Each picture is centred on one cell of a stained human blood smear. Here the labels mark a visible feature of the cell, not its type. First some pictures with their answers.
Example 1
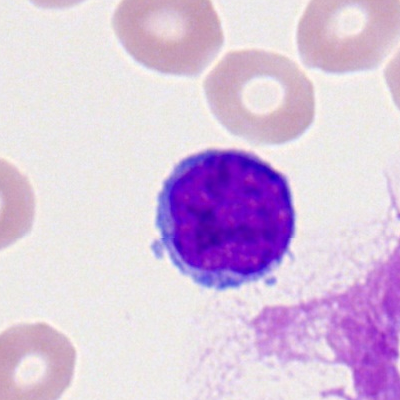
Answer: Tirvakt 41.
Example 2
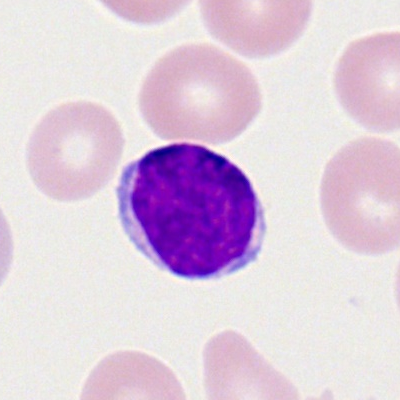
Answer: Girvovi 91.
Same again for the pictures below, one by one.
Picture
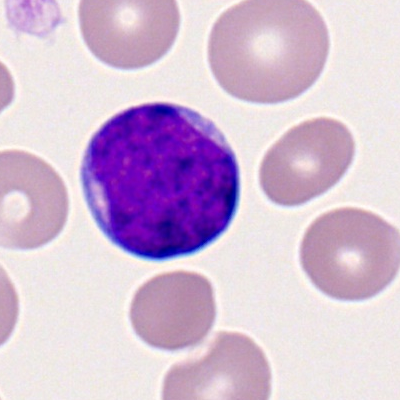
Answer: Girvovi 91.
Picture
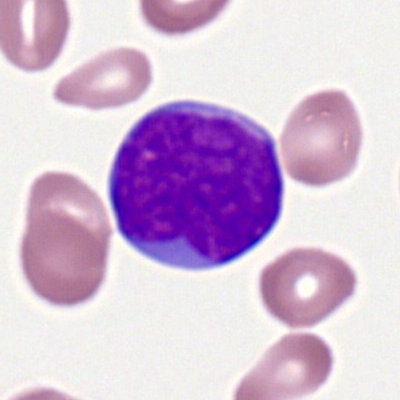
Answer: Girvovi 91.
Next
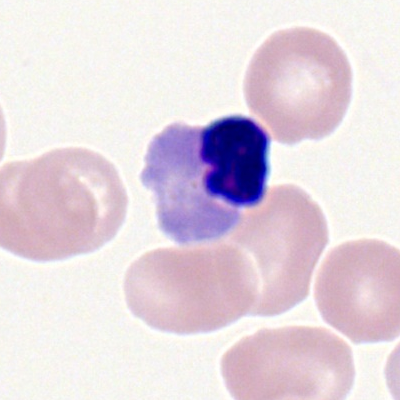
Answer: Tirvakt 41.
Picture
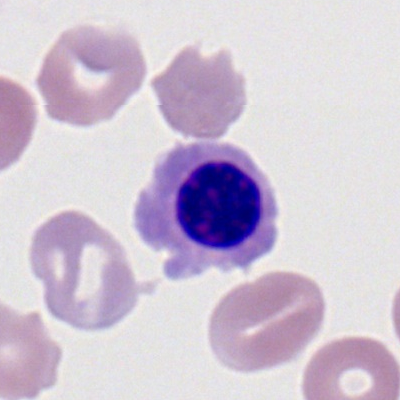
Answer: Tirvakt 41.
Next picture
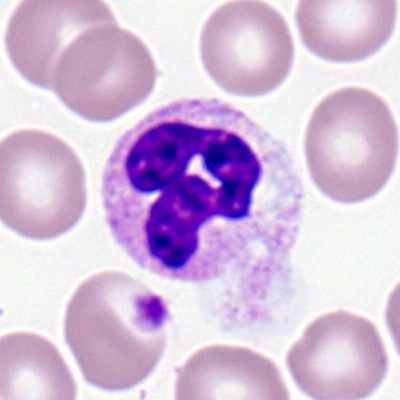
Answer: Tirvakt 41.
